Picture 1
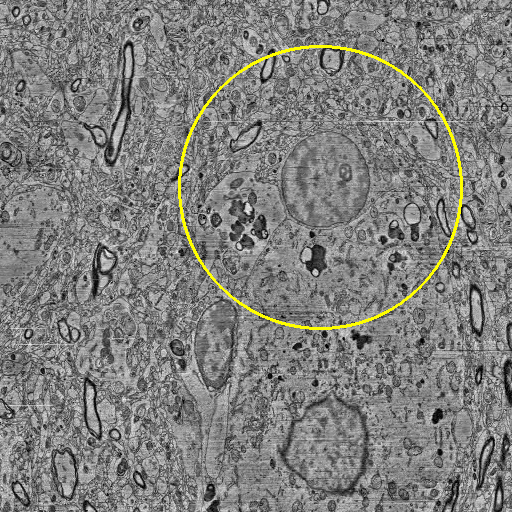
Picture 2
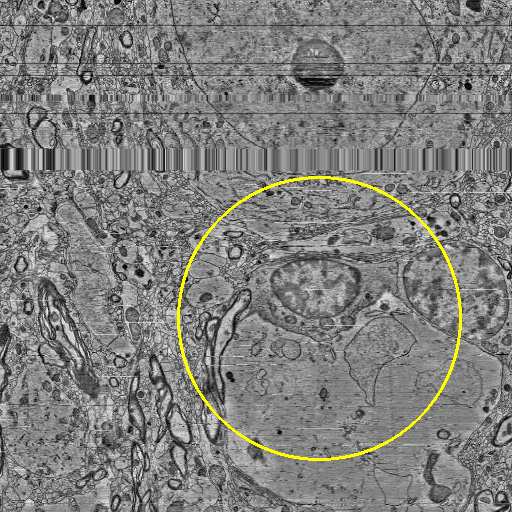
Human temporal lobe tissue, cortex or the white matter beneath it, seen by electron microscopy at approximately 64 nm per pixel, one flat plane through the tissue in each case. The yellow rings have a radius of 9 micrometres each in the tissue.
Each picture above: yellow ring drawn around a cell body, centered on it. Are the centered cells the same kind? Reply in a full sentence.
Yes, the two cells are the same kind.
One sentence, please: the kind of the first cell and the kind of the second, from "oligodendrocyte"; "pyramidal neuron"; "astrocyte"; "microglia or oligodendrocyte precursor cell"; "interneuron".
In the first picture and in the second, the ring is centred on an oligodendrocyte.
